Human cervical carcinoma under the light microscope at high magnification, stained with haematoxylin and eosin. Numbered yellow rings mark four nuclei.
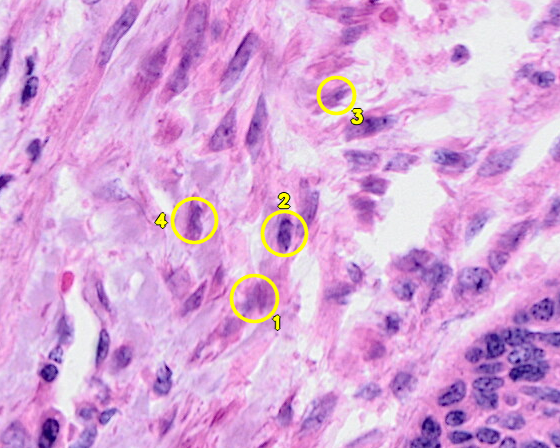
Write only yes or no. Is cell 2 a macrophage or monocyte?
yes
